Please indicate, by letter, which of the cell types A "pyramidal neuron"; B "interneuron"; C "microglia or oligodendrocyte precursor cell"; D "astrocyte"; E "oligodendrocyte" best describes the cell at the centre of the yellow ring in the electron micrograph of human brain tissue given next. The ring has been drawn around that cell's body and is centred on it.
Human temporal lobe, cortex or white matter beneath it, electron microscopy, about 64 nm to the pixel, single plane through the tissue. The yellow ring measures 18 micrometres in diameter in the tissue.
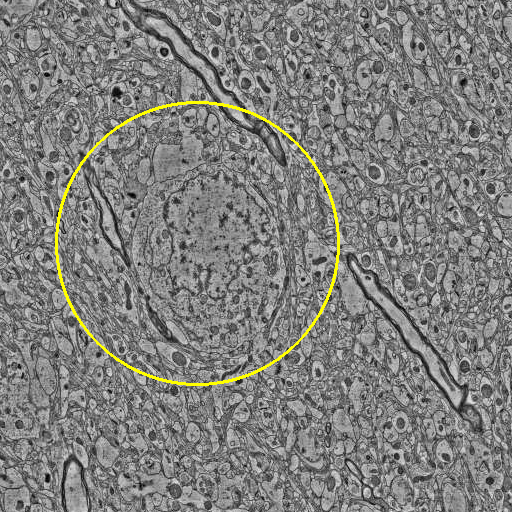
B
